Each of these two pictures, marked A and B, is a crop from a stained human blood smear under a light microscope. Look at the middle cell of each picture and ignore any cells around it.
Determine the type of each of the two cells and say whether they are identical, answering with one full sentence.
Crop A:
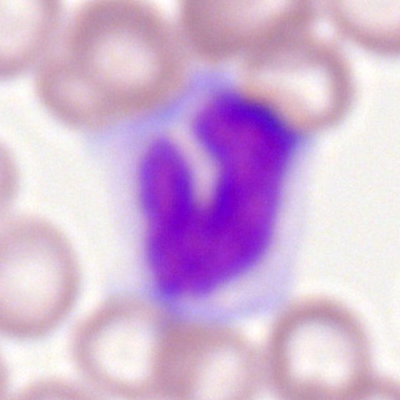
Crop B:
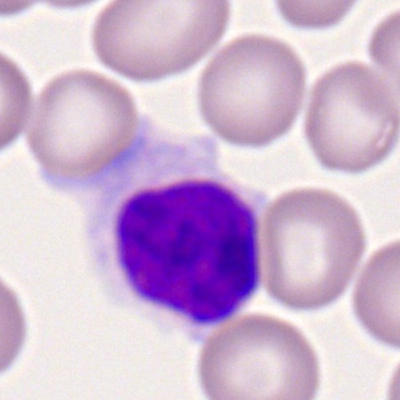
No, crop A shows a monocyte, with a lymphocyte shown in crop B.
